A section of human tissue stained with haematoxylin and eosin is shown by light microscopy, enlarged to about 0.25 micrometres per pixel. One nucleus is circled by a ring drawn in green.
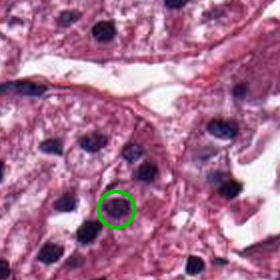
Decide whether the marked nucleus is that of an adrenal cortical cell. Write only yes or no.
yes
